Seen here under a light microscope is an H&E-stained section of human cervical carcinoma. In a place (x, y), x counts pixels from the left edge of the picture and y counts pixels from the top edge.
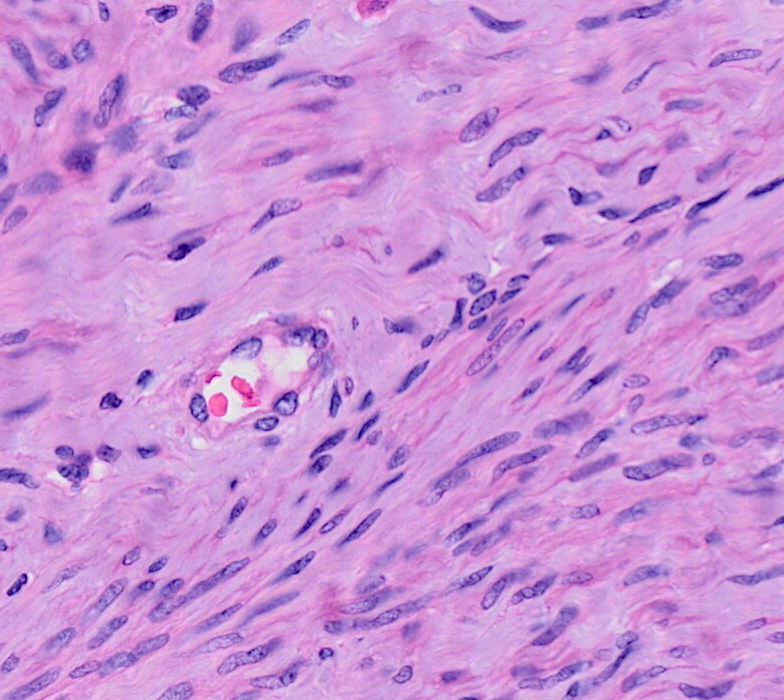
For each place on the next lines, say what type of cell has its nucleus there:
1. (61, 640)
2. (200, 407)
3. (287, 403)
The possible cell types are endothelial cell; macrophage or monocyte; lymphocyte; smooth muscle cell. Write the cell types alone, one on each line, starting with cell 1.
smooth muscle cell
endothelial cell
endothelial cell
